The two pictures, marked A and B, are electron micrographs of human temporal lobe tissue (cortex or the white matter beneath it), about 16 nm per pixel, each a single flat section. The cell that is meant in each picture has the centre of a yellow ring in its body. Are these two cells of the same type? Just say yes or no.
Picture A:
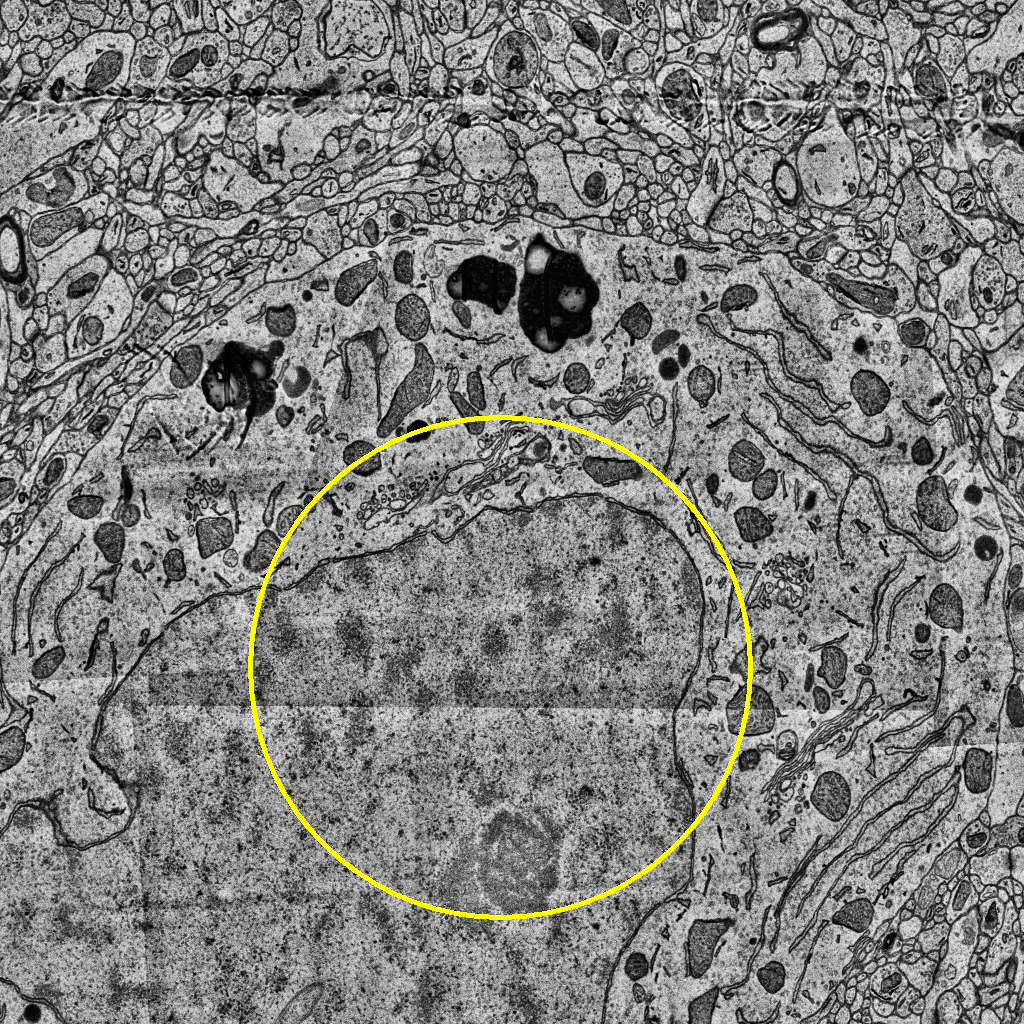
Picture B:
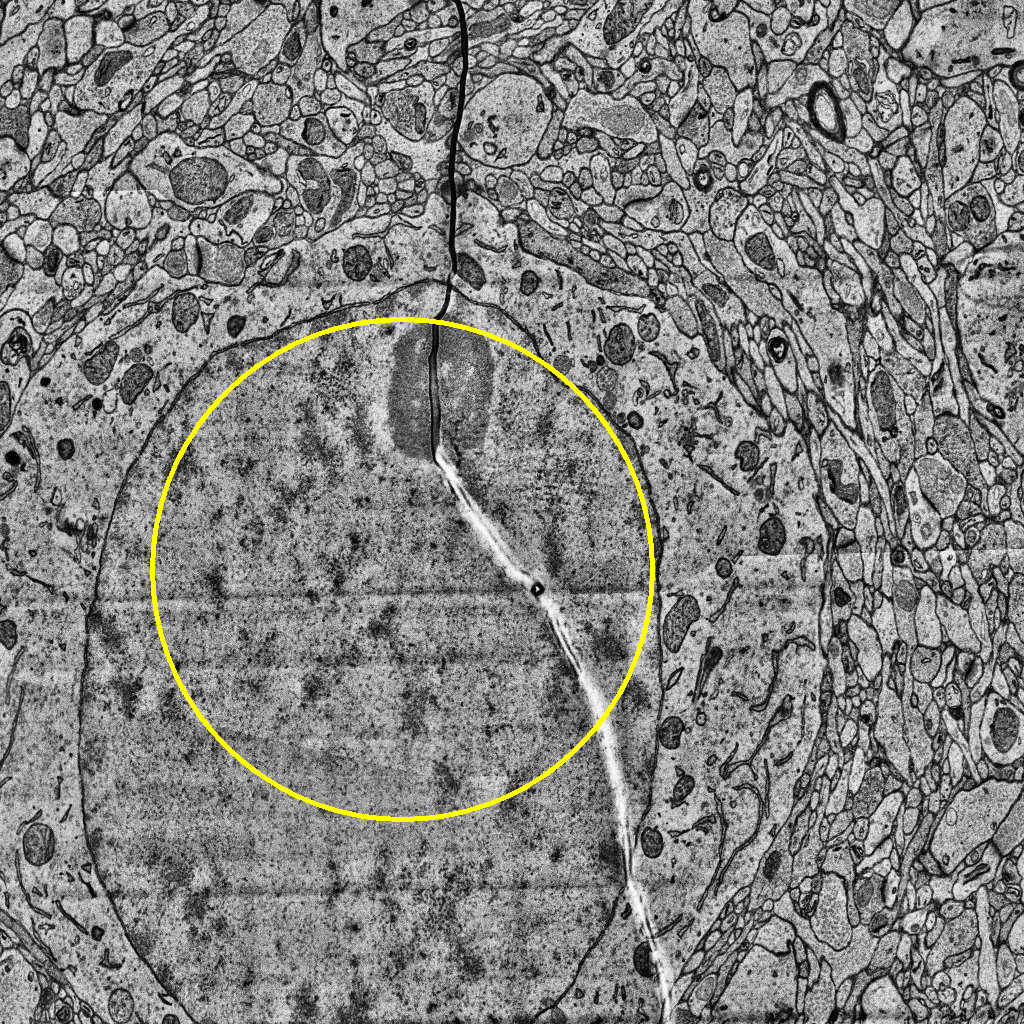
no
